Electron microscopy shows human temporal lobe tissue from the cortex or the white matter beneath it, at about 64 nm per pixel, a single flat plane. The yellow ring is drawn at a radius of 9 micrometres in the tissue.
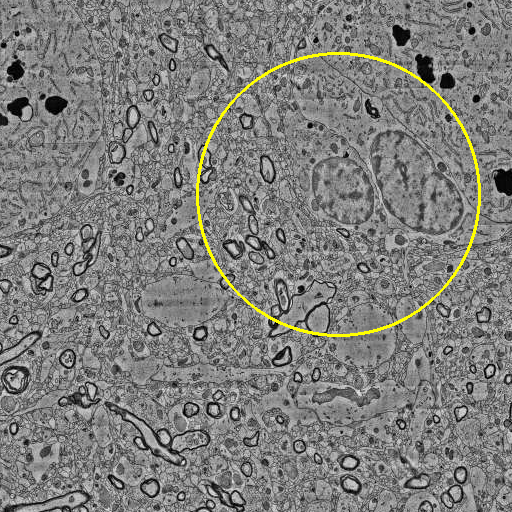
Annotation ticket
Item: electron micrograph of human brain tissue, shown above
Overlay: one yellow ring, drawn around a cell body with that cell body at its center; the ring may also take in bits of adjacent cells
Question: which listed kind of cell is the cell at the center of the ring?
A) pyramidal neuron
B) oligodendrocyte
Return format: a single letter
B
